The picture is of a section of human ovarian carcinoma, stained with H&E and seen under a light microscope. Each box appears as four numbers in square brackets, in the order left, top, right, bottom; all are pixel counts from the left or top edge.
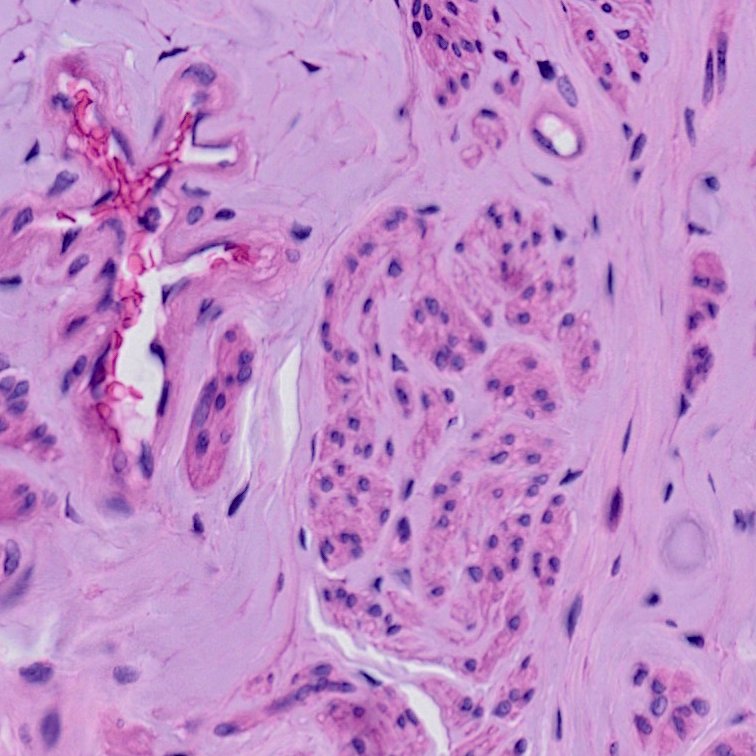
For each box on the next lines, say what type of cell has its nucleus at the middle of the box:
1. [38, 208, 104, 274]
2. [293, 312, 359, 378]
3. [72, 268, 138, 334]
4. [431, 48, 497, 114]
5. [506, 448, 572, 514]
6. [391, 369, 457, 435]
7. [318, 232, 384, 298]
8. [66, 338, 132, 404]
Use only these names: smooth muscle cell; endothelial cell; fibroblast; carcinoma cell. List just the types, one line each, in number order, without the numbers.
endothelial cell
smooth muscle cell
endothelial cell
smooth muscle cell
smooth muscle cell
smooth muscle cell
smooth muscle cell
endothelial cell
